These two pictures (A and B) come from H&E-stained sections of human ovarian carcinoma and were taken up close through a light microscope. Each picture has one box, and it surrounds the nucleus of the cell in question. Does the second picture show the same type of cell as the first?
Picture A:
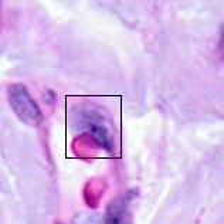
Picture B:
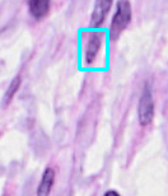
no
